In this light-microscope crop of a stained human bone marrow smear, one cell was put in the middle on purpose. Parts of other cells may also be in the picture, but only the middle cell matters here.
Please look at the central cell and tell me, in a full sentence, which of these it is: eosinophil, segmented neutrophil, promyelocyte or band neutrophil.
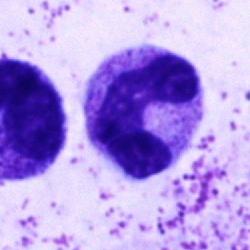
The cell in the middle of this crop is a band neutrophil.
